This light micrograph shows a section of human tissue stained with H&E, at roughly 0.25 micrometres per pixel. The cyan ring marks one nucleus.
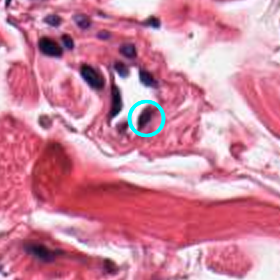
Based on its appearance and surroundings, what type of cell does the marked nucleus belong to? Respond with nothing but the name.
endothelial cell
